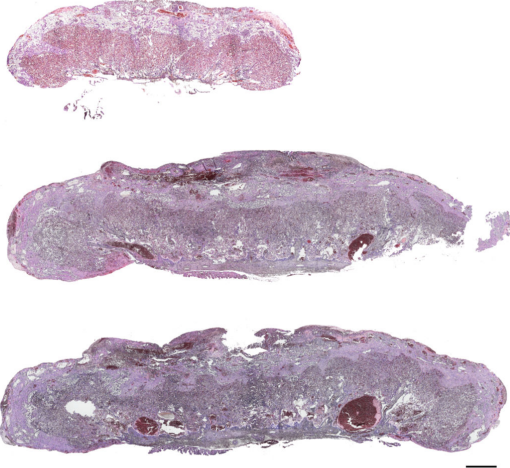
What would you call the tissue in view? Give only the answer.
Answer: Placentae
